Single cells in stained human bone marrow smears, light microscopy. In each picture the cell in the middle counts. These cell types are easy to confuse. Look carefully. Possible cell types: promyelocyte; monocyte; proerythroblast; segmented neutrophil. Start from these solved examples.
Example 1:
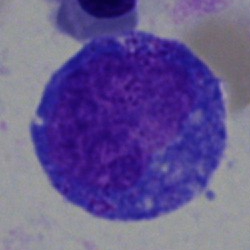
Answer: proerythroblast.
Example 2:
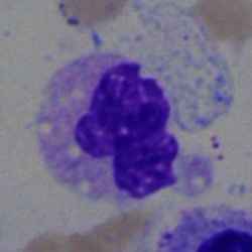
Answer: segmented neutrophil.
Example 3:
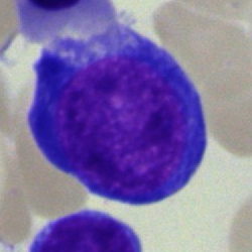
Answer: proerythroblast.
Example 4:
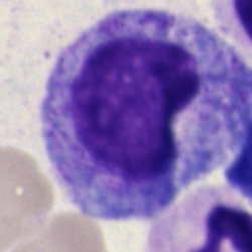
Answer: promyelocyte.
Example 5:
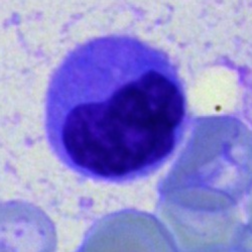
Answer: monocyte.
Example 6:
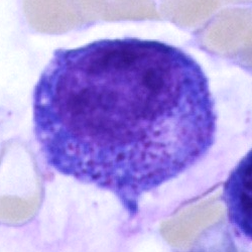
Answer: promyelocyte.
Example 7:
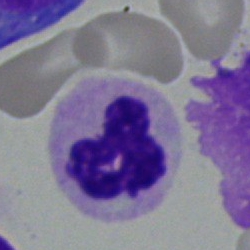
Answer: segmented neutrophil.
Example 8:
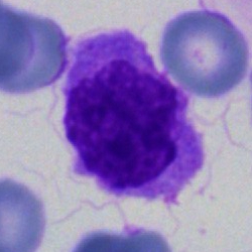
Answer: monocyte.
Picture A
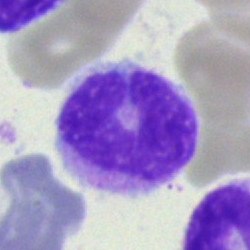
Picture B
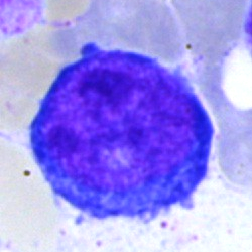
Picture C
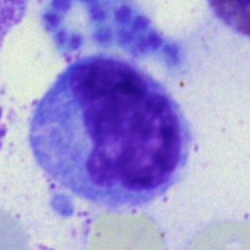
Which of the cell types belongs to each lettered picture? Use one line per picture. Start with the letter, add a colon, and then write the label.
A: monocyte.
B: proerythroblast.
C: monocyte.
